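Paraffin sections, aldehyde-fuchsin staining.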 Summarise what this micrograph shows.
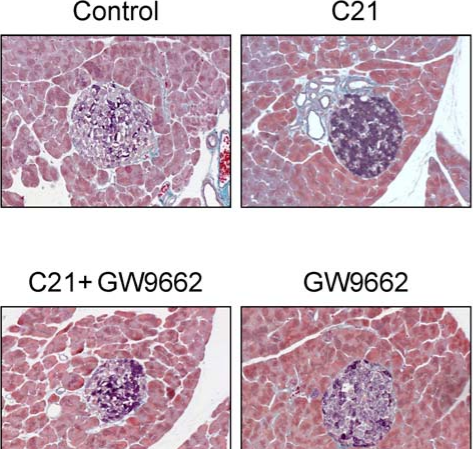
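Four low-power views of pancreas, each centred on a single rounded pancreatic islet surrounded by exocrine tissue. Within the islets, cells with dark purple granular cytoplasm are seen, densely filling the islet in one view and more scattered among paler cells in the others. Bluish-green connective tissue surrounds small ducts and vessels near some of the islets.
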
